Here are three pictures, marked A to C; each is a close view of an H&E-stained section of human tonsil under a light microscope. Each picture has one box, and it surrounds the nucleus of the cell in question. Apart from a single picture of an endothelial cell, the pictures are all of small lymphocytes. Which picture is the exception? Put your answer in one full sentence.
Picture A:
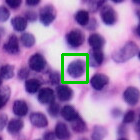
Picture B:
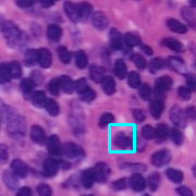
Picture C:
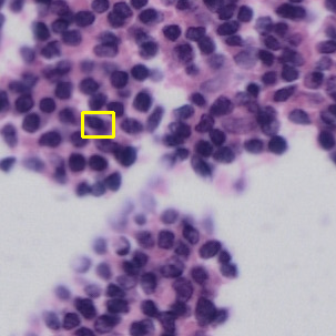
The picture with the endothelial cell is B.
